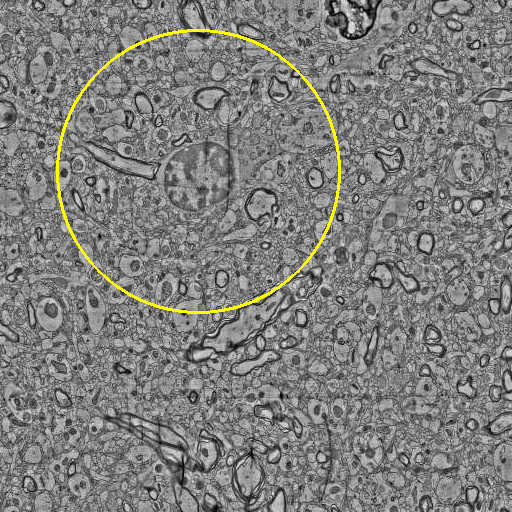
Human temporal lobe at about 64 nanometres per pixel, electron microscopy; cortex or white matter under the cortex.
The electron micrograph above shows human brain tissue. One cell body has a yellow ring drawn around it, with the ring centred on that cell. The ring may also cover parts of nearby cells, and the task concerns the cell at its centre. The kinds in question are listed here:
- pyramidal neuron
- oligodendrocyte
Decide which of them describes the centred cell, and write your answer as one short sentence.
The centred cell is an oligodendrocyte.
